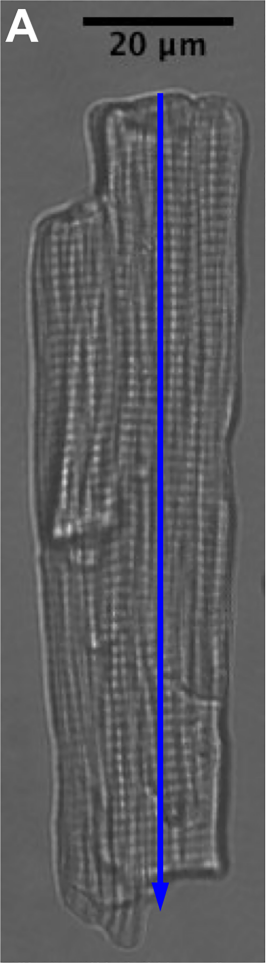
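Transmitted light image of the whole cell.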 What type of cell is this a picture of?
Cardiomyocyte.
